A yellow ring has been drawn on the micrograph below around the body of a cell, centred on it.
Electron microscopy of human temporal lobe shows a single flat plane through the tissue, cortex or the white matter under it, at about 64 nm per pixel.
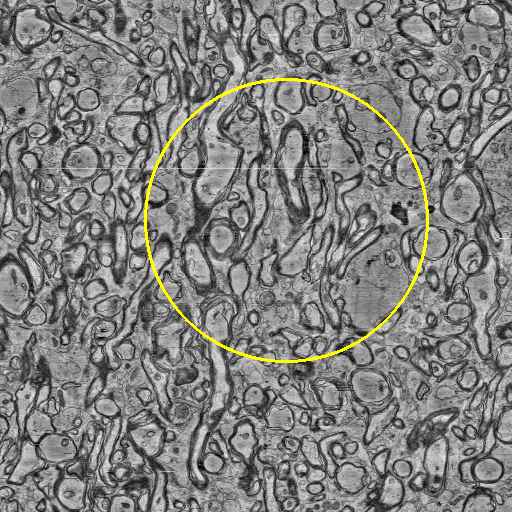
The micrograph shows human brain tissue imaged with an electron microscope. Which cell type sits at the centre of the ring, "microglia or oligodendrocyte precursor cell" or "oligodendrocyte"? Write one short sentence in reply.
The cell sitting at the centre of the ring is an oligodendrocyte.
